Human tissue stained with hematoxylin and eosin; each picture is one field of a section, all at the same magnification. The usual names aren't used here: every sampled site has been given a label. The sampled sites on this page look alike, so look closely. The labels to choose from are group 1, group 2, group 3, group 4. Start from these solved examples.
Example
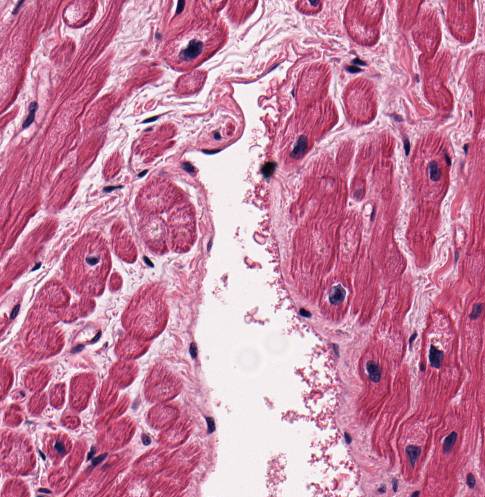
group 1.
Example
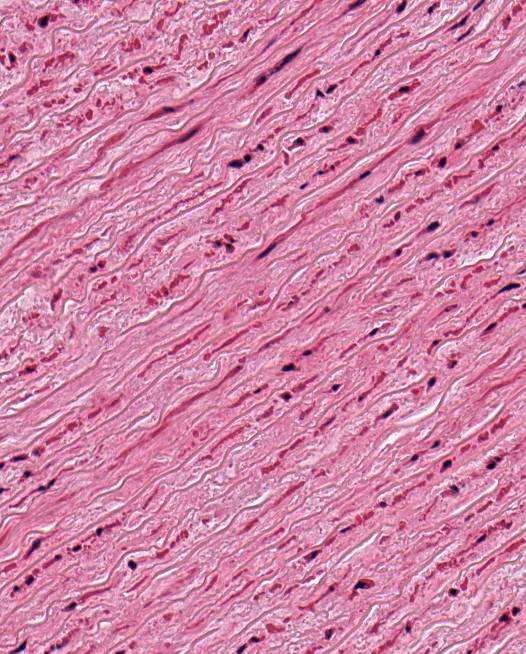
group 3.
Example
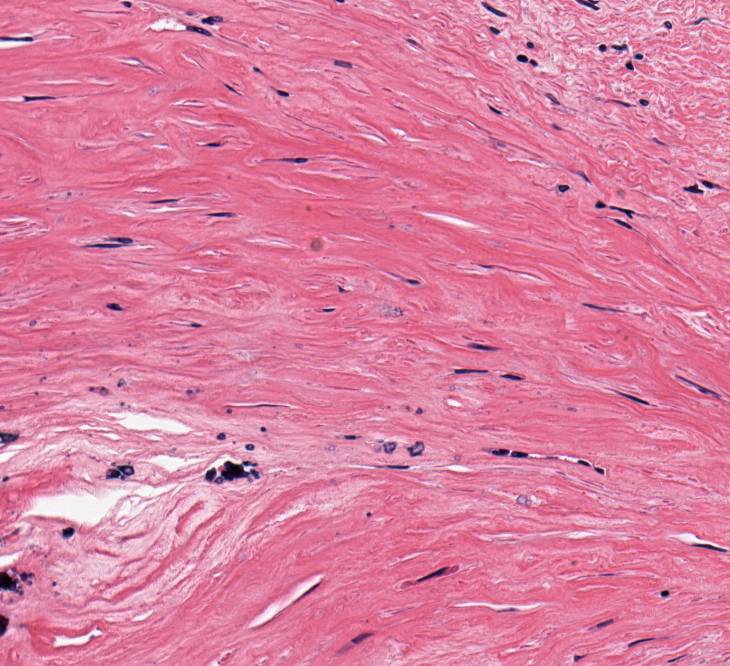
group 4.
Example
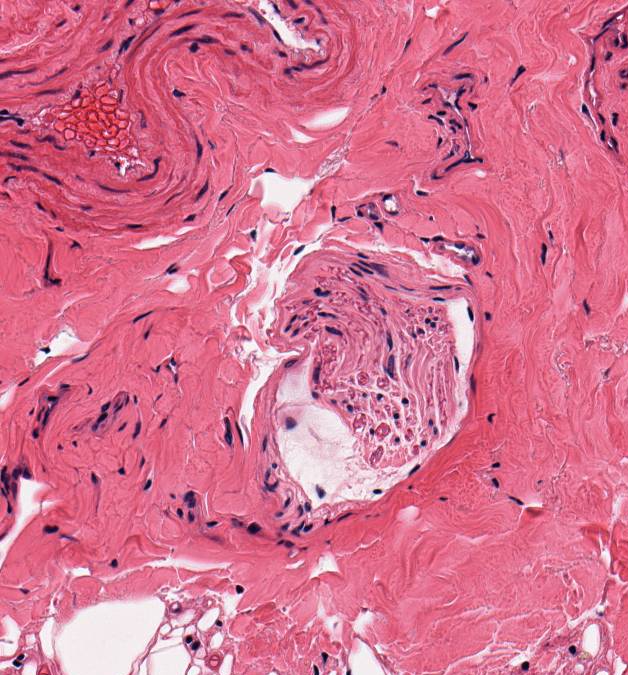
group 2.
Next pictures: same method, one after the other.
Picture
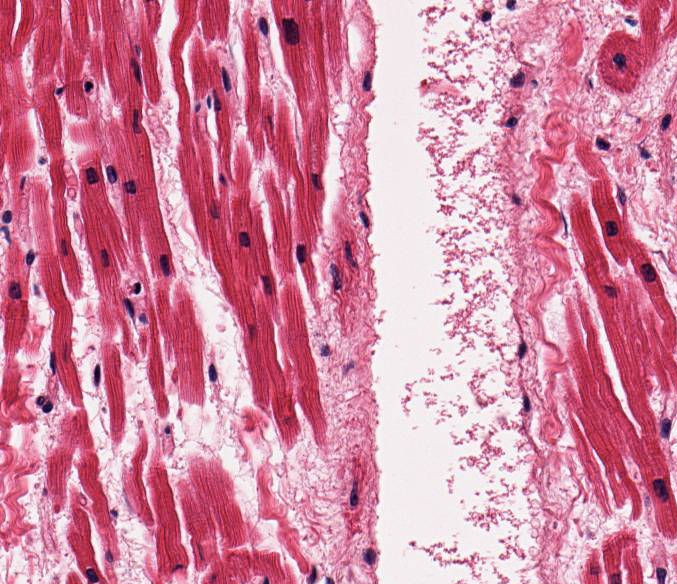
group 1.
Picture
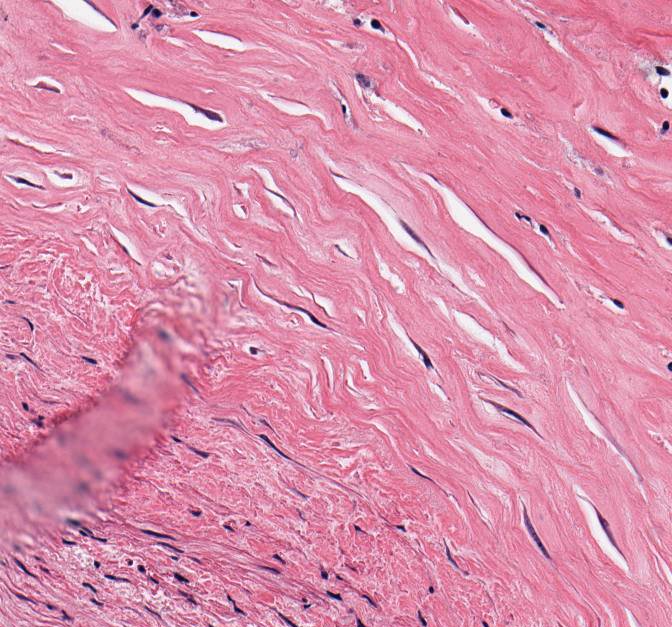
group 4.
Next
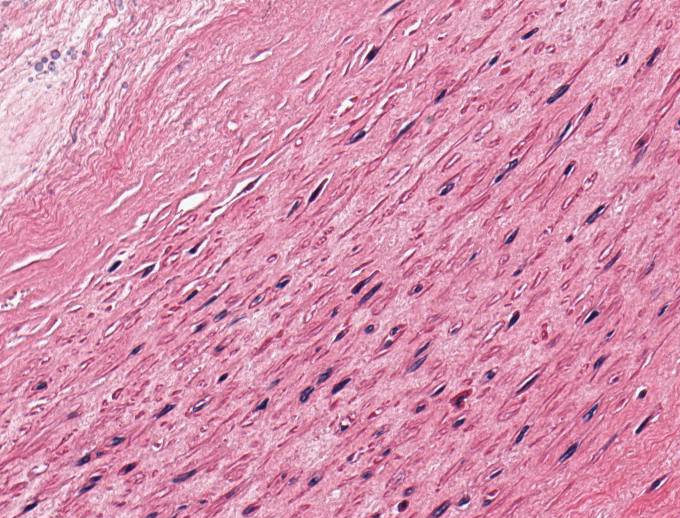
group 3.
